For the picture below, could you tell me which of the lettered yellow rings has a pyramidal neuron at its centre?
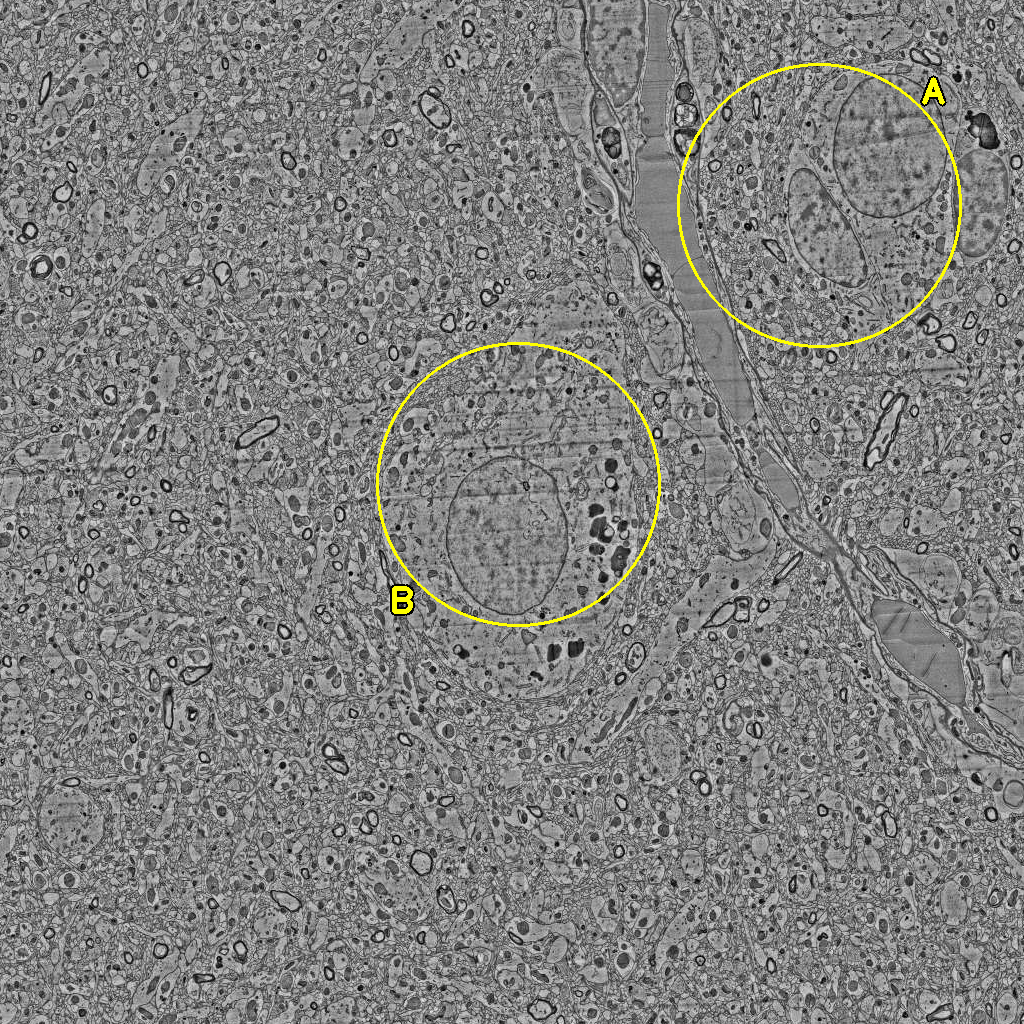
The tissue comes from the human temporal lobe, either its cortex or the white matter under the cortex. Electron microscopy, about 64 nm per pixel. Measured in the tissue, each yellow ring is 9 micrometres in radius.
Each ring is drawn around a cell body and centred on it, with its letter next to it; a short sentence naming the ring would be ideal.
Ring B is centred on it.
